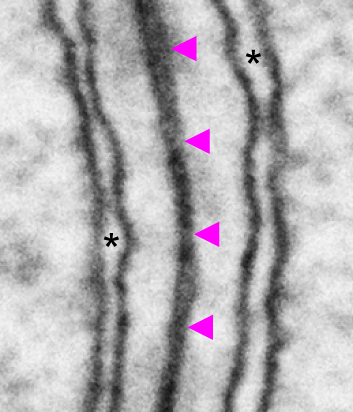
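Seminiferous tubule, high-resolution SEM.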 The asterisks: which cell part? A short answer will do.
Endoplasmic reticulum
